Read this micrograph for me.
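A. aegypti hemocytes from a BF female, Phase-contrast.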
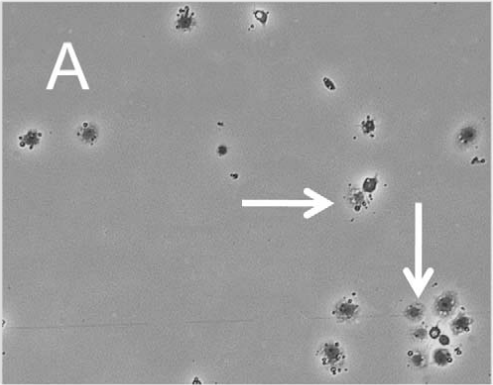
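Most cells have a flattened, irregular outline with a grey granular body and short projections around the edge. The cells are scattered with wide empty spaces between them.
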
